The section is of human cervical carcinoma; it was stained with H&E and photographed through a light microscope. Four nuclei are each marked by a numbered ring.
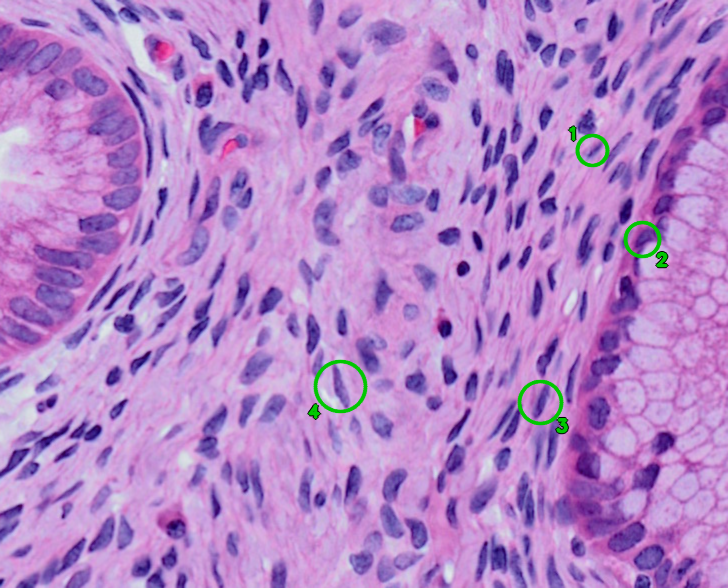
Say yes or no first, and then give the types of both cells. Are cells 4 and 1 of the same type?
Yes, by their numbers, cells 4 and 1 are both fibroblasts.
